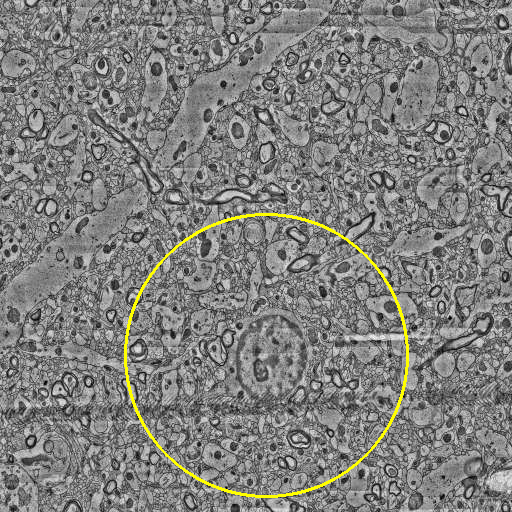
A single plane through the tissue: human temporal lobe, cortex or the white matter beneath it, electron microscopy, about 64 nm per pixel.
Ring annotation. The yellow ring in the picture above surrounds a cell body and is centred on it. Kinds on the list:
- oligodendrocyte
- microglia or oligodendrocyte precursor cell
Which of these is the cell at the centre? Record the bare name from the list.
oligodendrocyte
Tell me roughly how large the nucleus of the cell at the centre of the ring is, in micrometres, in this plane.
The nucleus has a long axis of about 6 micrometres and a short axis of about 4 micrometres in this plane.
